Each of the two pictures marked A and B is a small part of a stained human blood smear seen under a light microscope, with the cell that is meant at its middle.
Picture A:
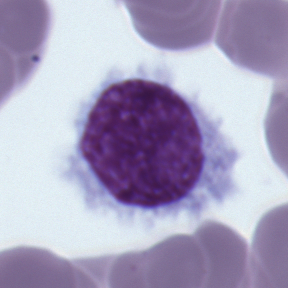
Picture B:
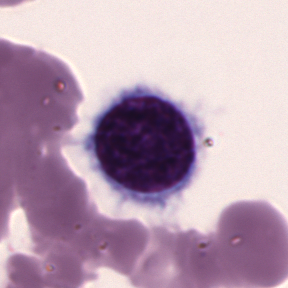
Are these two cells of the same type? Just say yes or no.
yes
